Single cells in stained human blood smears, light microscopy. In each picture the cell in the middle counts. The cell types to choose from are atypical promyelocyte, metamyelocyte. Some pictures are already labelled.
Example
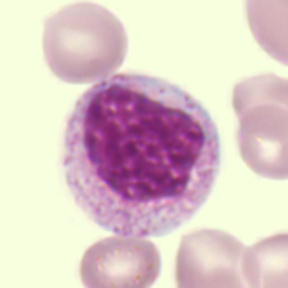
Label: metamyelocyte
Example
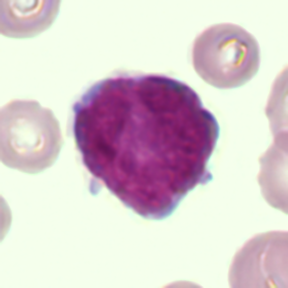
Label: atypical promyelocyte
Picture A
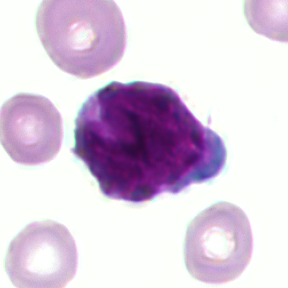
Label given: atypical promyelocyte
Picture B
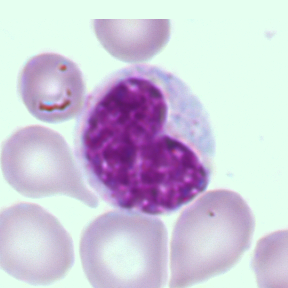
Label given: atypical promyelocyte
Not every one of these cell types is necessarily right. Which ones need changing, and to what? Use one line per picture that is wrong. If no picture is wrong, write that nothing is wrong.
B should be metamyelocyte, not atypical promyelocyte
